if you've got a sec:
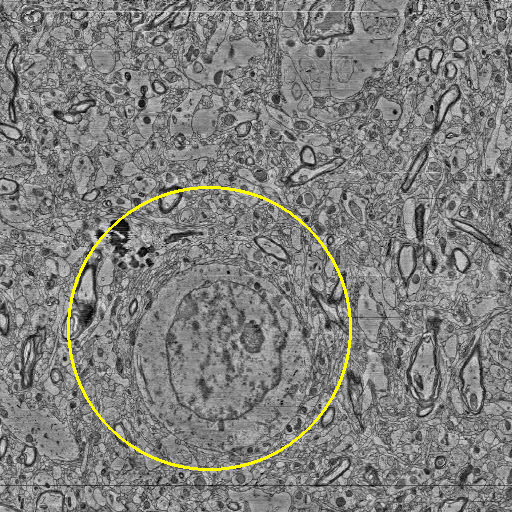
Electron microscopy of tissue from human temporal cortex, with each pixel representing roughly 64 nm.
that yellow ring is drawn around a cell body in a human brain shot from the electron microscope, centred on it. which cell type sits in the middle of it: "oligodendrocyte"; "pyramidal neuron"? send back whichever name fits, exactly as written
pyramidal neuron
